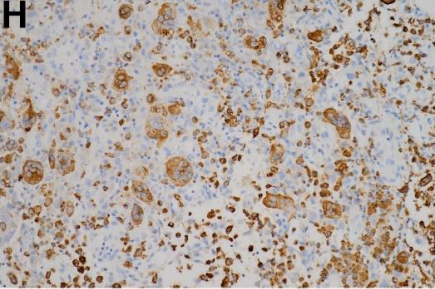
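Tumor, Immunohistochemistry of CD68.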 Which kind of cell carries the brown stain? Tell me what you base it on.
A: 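Osteoclast-like giant cells and mononuclear histiocytes. Large brown-stained multinucleated cells are scattered through the field. Many small rounded single cells also stain brown. Other cells with blue nuclei remain unstained.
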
